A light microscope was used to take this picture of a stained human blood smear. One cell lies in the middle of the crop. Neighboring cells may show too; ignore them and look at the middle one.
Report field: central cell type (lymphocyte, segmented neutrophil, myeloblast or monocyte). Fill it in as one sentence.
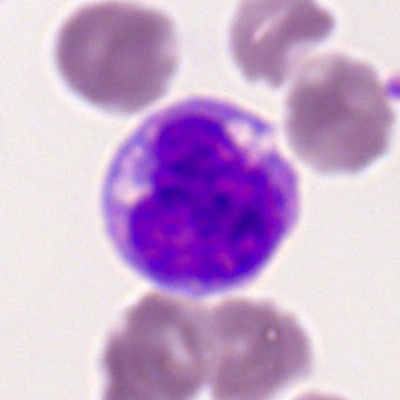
In the central position of this crop, the cell is a monocyte.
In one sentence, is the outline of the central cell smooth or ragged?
In short, the margin is smooth with no projections at all.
